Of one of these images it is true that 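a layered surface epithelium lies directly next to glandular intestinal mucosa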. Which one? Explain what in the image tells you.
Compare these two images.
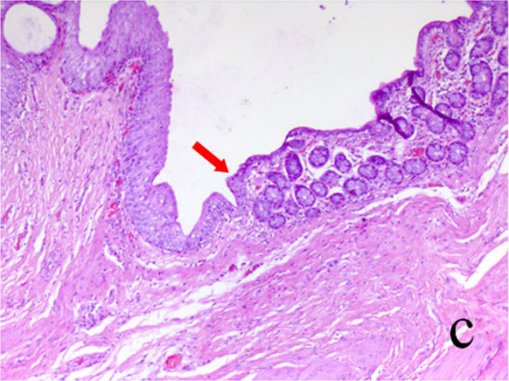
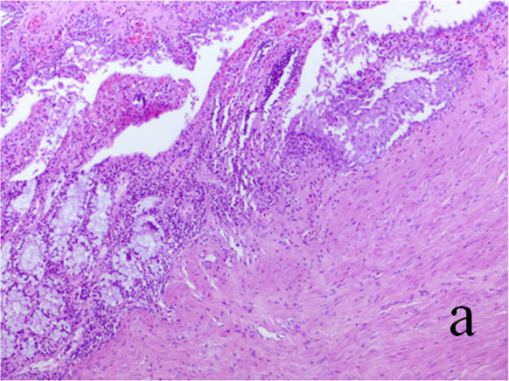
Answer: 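The first image. First image: a continuous multilayered epithelium on the left joins a mucosa of round glands on the right along one surface.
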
